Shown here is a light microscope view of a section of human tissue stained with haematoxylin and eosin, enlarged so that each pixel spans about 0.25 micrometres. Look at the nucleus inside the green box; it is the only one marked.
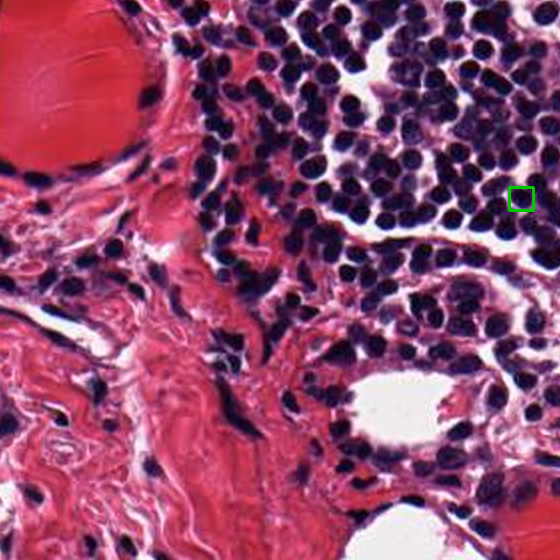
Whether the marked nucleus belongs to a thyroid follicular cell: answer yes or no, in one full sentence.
No, the marked nucleus is contained in a supporting cell and not in a thyroid follicular cell.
